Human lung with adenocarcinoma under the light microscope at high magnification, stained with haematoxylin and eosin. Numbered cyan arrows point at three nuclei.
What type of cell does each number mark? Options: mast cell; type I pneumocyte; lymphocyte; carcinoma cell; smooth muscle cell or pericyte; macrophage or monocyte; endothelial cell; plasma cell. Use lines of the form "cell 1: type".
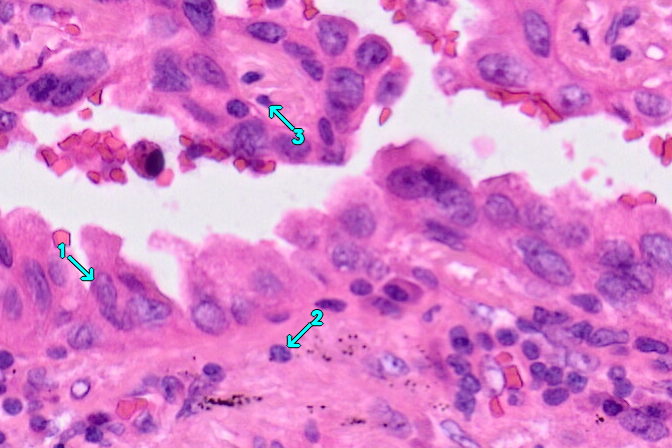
cell 1: carcinoma cell
cell 2: mast cell
cell 3: lymphocyte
